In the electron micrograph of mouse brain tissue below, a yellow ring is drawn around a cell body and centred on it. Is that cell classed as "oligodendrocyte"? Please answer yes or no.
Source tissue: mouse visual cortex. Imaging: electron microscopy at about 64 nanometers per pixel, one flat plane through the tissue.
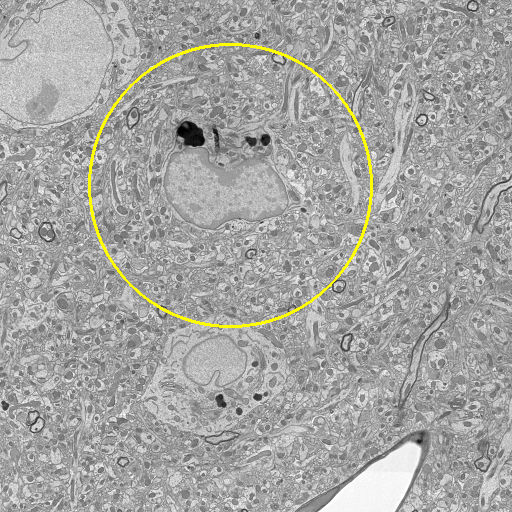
no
